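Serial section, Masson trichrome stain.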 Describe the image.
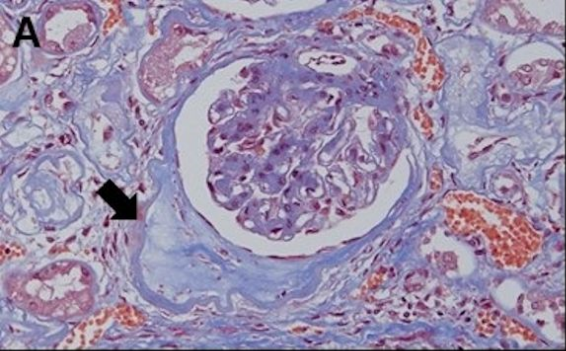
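Kidney cortex with a glomerulus inside its capsule, surrounded by tubules and interstitium. The glomerular tuft is cellular, with purple-staining nuclei and capillary loops, and is separated from the capsule by a clear space. Along one side of the capsule lies a thick, pale blue, homogeneous band of material that widens the capsular wall. The surrounding tubules have pink-red cytoplasm and open lumina, and their walls are outlined by blue-staining basement membranes. Capillaries filled with orange-red erythrocytes lie between the tubules in a blue-staining interstitium.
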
